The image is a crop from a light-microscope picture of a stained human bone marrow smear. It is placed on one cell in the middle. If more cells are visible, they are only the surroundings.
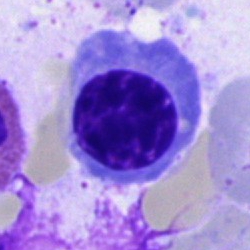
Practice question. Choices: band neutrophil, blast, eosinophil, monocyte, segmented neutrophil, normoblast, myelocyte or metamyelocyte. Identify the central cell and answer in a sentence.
The crop centres on a single cell, and that cell is a normoblast.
